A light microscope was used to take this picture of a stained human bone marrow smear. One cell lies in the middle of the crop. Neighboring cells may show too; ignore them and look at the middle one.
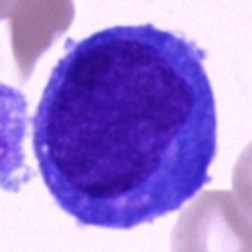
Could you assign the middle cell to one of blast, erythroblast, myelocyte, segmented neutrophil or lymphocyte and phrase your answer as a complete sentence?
The cell marked by its central position in the crop is a blast.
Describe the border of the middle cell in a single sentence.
Projections or ragged segments give this cell an irregular rather than smooth border.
